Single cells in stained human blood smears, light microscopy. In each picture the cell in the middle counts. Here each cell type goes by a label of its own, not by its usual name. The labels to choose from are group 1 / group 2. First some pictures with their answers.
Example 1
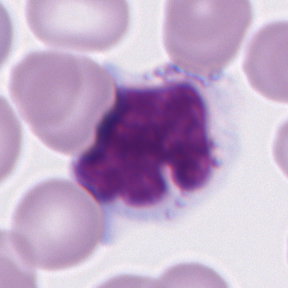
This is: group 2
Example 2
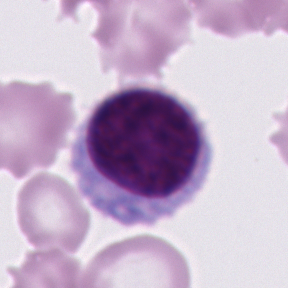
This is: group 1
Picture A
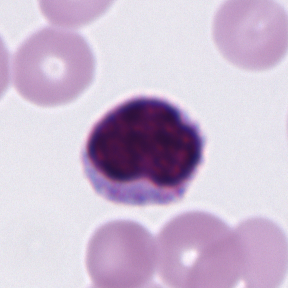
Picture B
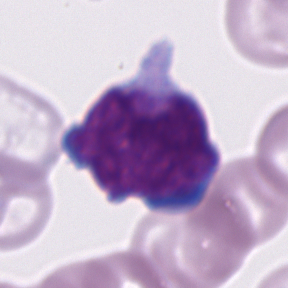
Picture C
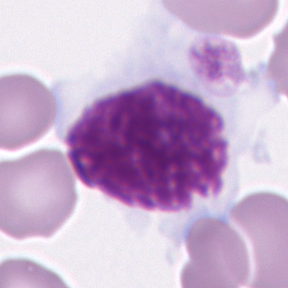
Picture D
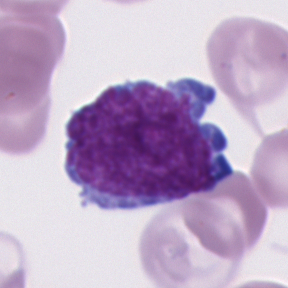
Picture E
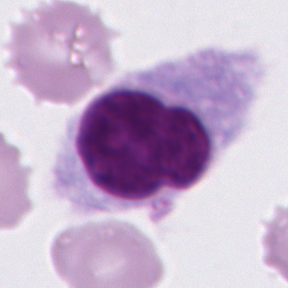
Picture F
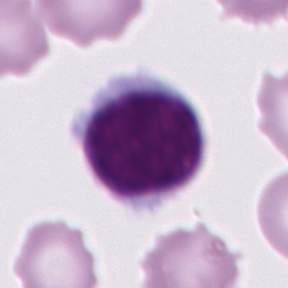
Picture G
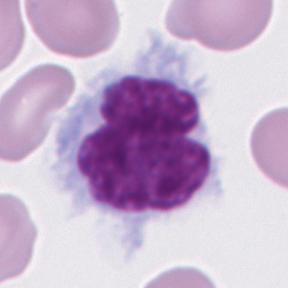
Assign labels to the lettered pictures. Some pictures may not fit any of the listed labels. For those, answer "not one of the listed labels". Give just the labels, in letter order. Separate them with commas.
group 2, not one of the listed labels, group 1, not one of the listed labels, group 1, group 1, group 1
